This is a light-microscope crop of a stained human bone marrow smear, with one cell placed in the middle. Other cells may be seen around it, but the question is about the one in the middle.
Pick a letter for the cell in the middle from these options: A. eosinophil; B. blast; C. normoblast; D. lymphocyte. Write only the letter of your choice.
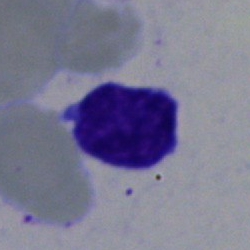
D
